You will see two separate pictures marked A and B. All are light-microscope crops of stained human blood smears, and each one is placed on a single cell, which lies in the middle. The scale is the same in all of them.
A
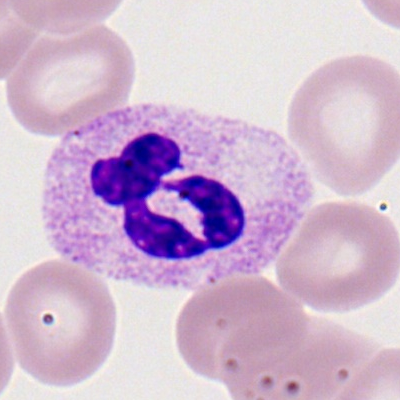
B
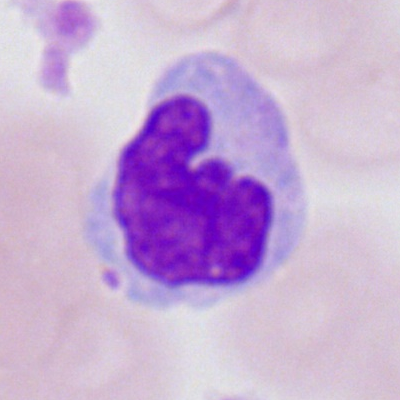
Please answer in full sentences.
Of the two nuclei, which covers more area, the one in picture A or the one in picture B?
Larger is the nucleus in picture B, at roughly 2 times the area of the other.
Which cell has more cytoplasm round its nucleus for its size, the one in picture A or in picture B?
In picture A the nucleus takes up the smaller part of its cell.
